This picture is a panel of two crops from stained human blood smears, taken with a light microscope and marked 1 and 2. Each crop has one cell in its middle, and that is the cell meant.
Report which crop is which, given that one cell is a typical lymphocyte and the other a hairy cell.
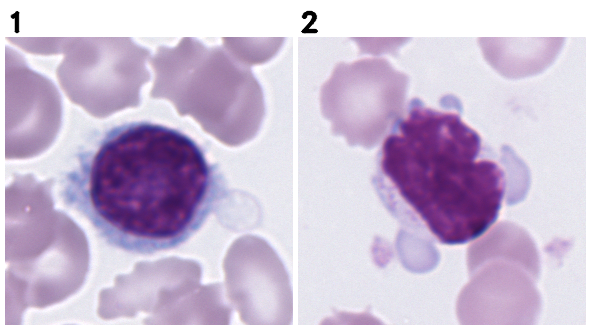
1: hairy cell
2: typical lymphocyte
